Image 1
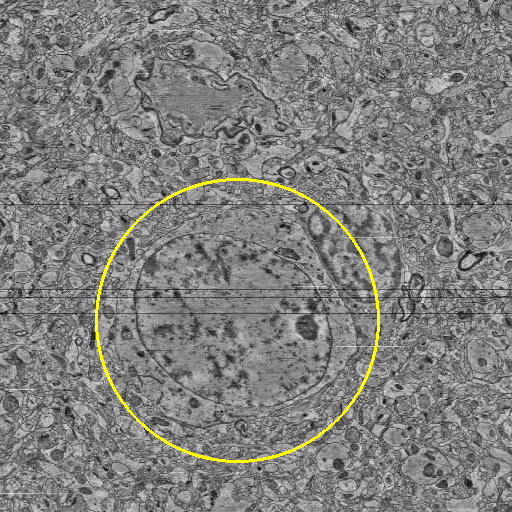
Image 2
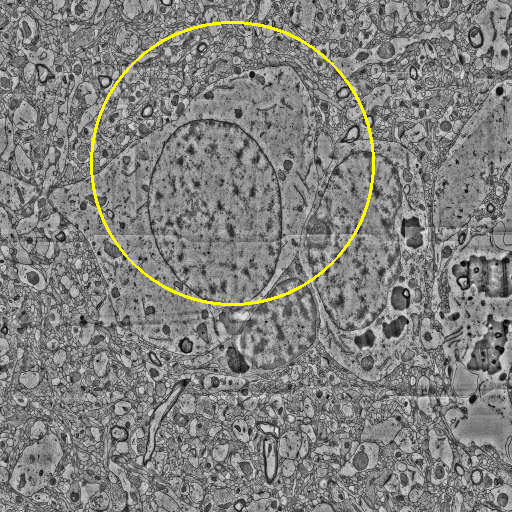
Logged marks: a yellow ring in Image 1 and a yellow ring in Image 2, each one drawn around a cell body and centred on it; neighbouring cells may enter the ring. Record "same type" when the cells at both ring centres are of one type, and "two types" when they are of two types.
same type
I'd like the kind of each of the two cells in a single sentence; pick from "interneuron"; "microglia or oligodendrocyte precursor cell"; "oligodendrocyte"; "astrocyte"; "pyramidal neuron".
Both cells are the same kind, each one being a pyramidal neuron.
